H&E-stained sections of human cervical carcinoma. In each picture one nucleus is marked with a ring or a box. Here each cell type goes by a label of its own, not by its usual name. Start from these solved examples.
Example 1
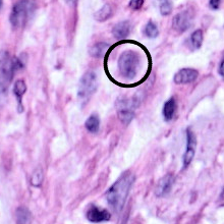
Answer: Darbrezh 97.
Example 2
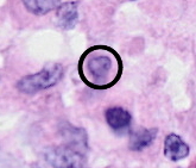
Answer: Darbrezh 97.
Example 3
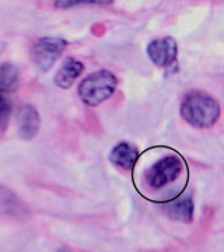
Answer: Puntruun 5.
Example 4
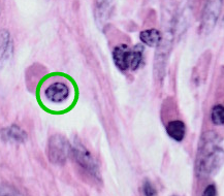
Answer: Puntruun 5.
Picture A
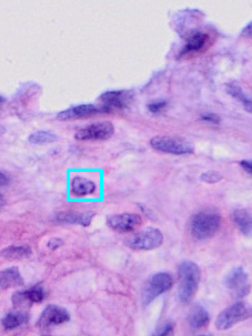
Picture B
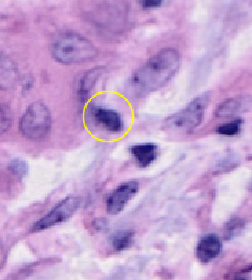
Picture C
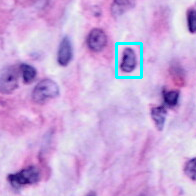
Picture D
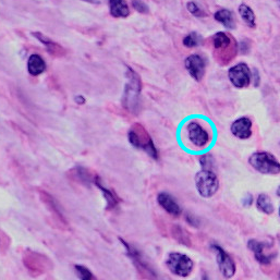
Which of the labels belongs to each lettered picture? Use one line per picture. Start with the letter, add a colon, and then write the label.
A: Puntruun 5.
B: Puntruun 5.
C: Puntruun 5.
D: Puntruun 5.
